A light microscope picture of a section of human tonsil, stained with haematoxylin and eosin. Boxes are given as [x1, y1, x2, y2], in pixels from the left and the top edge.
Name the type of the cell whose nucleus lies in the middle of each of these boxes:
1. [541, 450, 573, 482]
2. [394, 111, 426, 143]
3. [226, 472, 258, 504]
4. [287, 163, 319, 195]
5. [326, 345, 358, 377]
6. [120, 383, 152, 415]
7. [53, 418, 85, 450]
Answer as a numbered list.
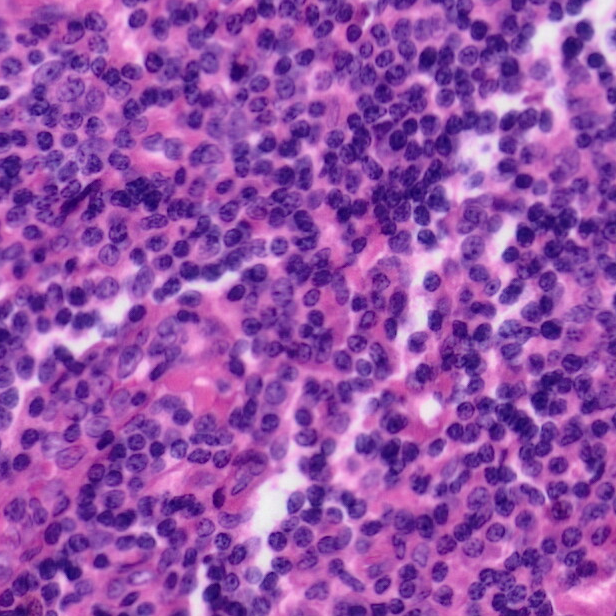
1. plasma cell
2. small lymphocyte
3. endothelial cell
4. small lymphocyte
5. plasma cell
6. endothelial cell
7. endothelial cell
